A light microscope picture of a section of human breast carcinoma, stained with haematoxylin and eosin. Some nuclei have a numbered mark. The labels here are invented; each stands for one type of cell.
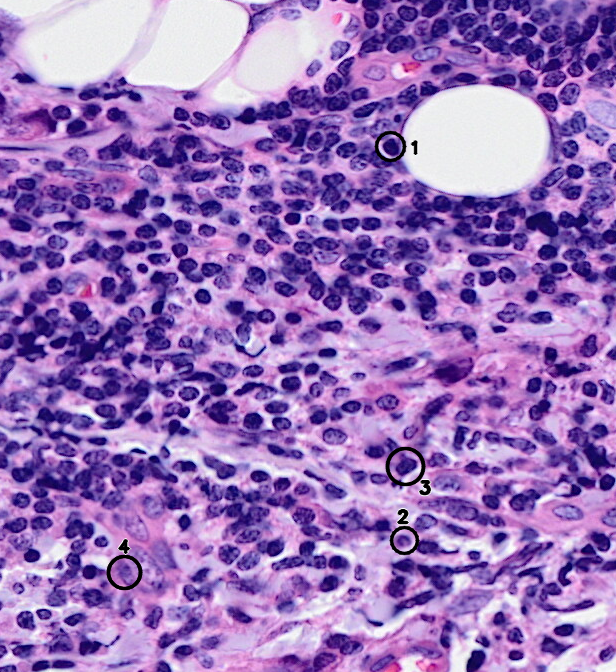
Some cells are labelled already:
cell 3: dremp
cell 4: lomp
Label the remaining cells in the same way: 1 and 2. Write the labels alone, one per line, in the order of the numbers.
dremp
dremp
